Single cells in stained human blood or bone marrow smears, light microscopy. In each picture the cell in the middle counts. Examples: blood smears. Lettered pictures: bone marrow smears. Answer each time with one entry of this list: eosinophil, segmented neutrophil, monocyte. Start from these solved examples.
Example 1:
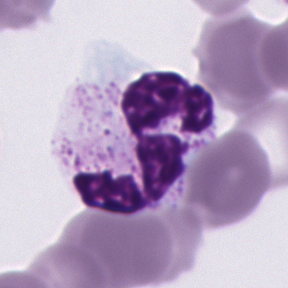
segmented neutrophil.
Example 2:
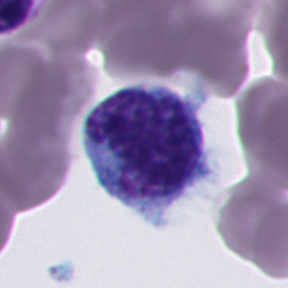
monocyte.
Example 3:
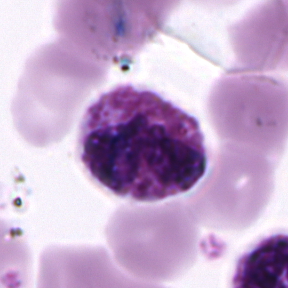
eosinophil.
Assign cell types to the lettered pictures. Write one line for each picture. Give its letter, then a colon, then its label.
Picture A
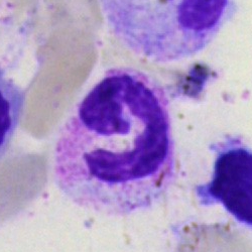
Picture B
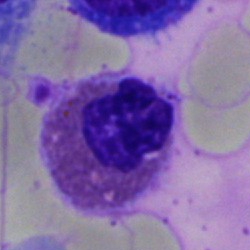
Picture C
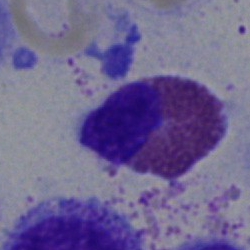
A: segmented neutrophil.
B: eosinophil.
C: eosinophil.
